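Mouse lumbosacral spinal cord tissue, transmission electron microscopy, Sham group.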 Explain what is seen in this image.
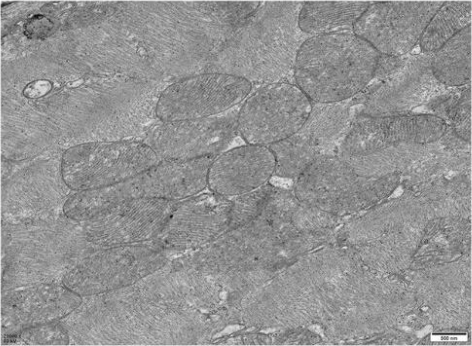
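This electron micrograph shows a field of cytoplasm crowded with closely packed, oval mitochondria. Each mitochondrion is bounded by a continuous outer membrane and has a fairly dense, grey matrix crossed by many thin, parallel cristae. The mitochondria lie side by side in clusters, with only narrow spaces between them. The surrounding cytoplasm has a fine, streaked, fibrillar texture, with a few small pale vesicles scattered through it. Little clearing or vacuolation is seen inside the mitochondria.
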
